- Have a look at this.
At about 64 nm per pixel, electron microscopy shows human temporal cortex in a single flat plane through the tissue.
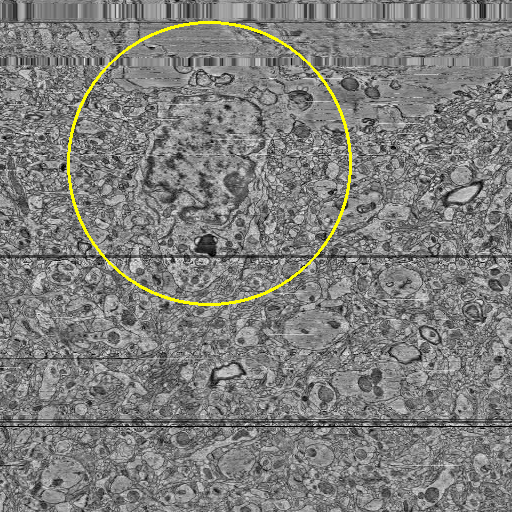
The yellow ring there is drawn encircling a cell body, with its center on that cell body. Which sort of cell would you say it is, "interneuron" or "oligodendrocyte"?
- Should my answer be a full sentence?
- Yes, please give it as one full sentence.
For this picture, an interneuron is the cell where the yellow ring has its center.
